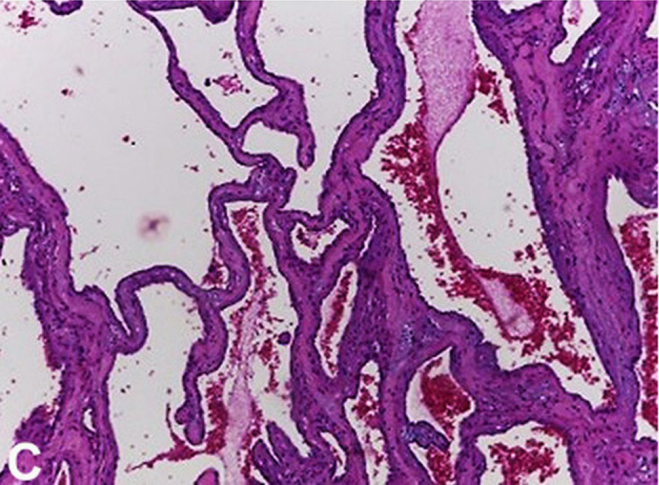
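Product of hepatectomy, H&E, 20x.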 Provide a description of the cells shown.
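Tumor made of many blood-filled vascular channels of varying sizes, packed side by side. Red blood cells lie within the lumina, some of which also hold pale pink material. Pink fibrous septa of varying thickness separate the channels.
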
